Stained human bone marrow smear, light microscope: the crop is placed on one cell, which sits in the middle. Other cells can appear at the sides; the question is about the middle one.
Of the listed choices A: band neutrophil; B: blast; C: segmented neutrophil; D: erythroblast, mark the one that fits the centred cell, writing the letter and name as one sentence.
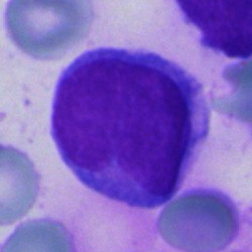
Option B holds up: the cell in the middle is a blast.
